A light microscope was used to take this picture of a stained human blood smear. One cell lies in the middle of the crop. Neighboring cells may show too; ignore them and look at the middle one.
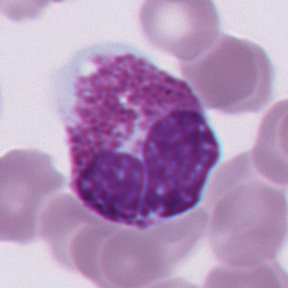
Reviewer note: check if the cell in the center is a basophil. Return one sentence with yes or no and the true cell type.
No, the central cell is classed as an eosinophil, not a basophil.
